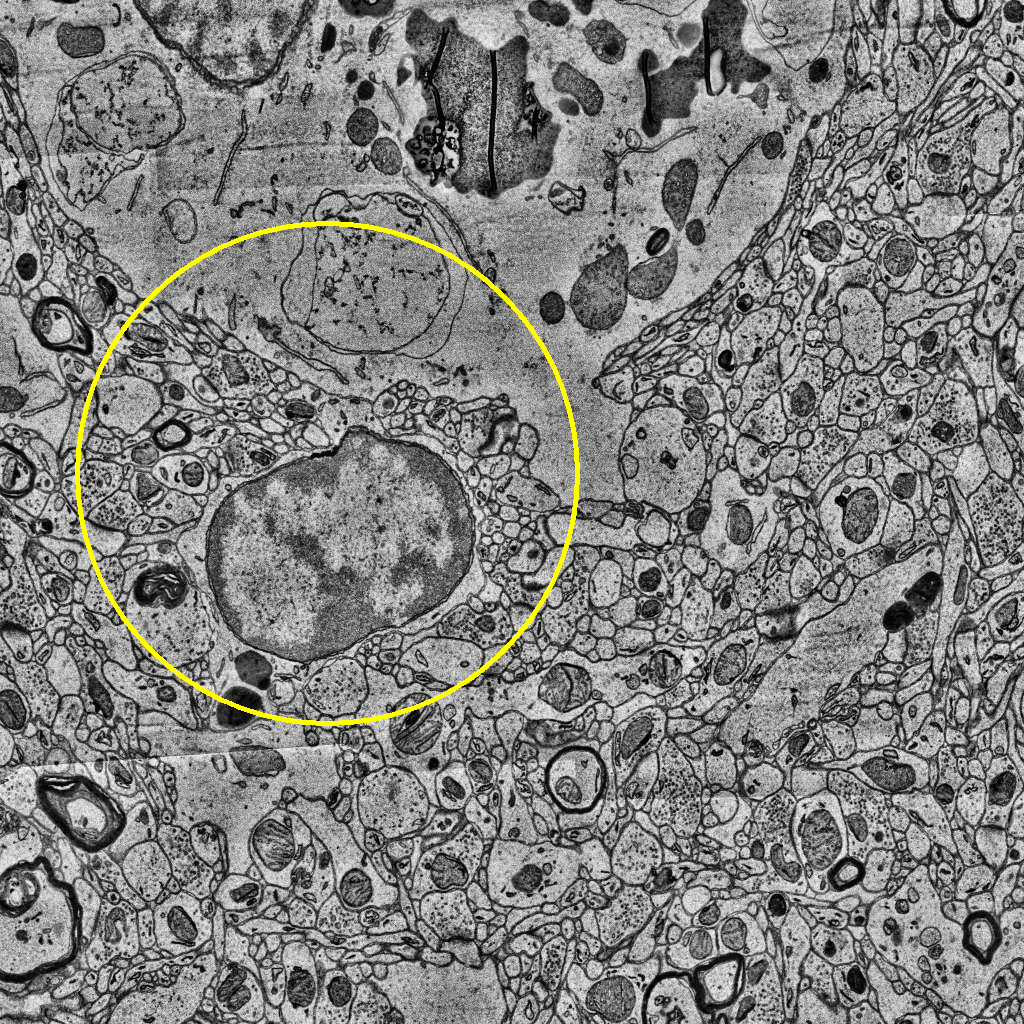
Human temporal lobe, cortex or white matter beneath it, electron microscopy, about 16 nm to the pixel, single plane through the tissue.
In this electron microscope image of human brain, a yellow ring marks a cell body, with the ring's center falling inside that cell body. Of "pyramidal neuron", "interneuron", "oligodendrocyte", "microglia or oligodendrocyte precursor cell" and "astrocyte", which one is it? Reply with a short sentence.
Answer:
It is a microglial cell or oligodendrocyte precursor cell at the center of the ring.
